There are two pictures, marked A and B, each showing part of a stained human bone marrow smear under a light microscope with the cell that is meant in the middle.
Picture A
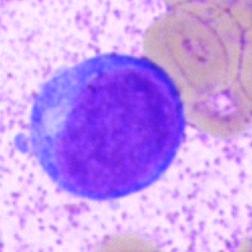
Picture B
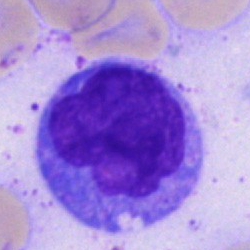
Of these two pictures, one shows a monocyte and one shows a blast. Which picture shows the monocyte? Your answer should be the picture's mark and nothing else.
B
